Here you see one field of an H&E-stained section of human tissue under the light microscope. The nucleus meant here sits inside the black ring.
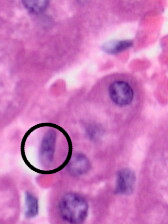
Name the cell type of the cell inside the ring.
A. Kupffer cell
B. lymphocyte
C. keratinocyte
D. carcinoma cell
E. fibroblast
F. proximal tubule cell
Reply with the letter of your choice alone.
A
